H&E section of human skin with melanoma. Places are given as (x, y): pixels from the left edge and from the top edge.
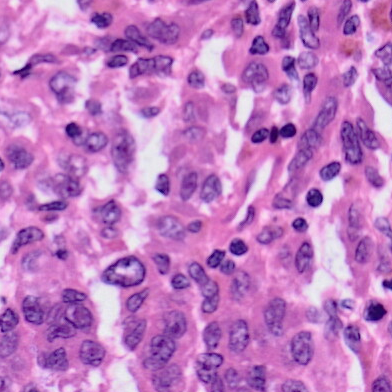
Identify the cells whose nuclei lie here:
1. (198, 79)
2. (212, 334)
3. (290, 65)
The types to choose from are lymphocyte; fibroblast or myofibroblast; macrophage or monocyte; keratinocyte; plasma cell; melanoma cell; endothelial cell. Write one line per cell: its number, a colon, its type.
1: macrophage or monocyte
2: melanoma cell
3: lymphocyte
